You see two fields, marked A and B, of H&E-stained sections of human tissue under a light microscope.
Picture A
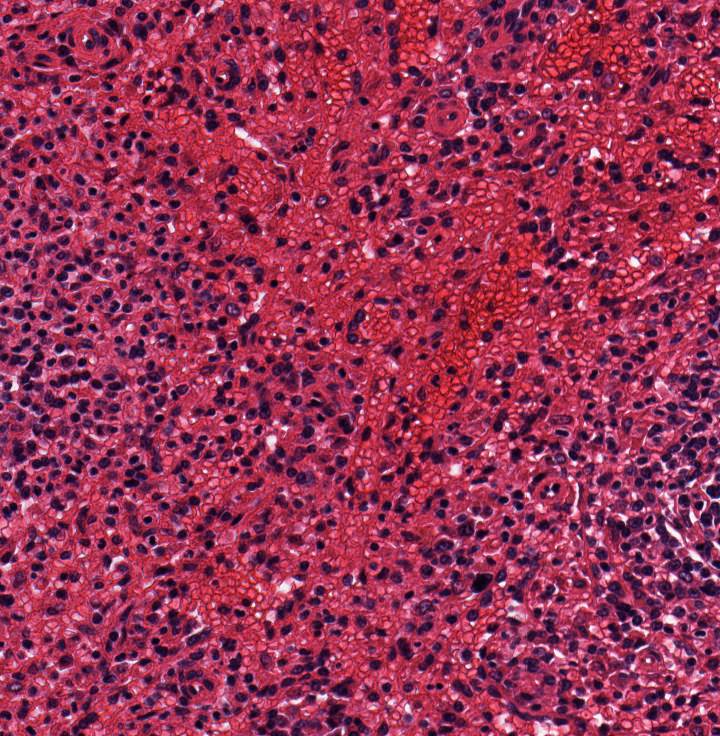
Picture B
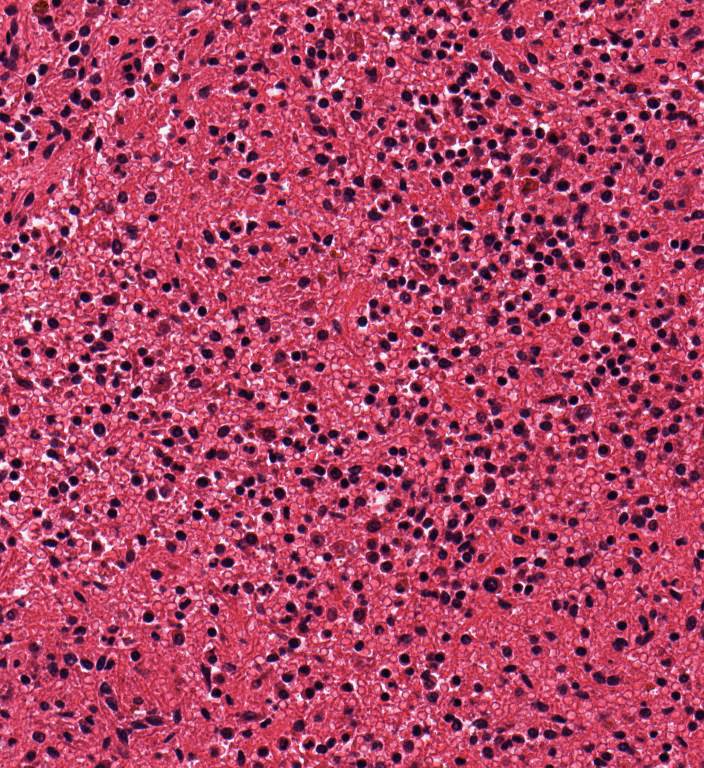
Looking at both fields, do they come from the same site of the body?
yes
